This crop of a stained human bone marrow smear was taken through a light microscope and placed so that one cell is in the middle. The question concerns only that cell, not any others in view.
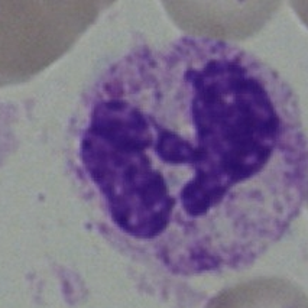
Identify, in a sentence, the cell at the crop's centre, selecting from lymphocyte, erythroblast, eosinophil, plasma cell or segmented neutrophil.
The cell marked by its central position in the crop is a segmented neutrophil.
